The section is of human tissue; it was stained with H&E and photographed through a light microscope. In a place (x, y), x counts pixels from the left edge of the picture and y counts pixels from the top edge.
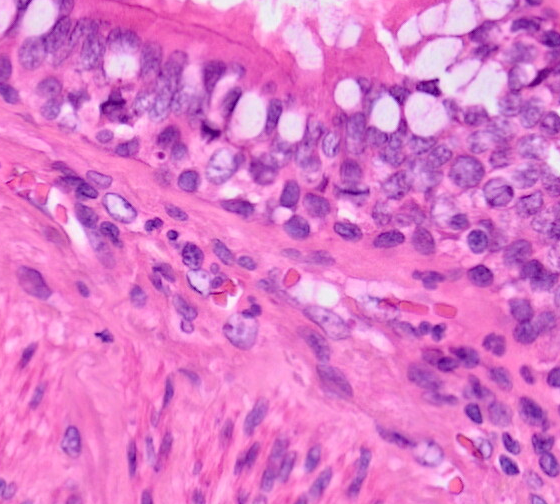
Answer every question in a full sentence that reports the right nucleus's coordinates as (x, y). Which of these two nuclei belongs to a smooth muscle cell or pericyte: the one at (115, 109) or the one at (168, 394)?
Housed in a smooth muscle cell or pericyte is the nucleus at (168, 394), not the other one.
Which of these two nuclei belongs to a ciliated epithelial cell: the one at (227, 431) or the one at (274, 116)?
In this pair, the nucleus at (274, 116) belongs to a ciliated epithelial cell.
